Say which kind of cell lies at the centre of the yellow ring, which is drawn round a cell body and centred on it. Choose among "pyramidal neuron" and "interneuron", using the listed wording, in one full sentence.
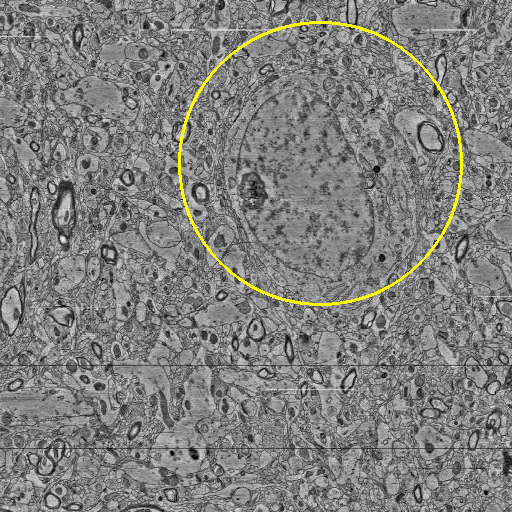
Going by the list, the cell at the yellow ring's centre is an interneuron.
